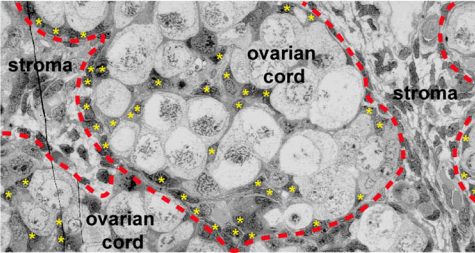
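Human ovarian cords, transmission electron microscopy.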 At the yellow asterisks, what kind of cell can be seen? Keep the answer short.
Pre-granulosa cells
